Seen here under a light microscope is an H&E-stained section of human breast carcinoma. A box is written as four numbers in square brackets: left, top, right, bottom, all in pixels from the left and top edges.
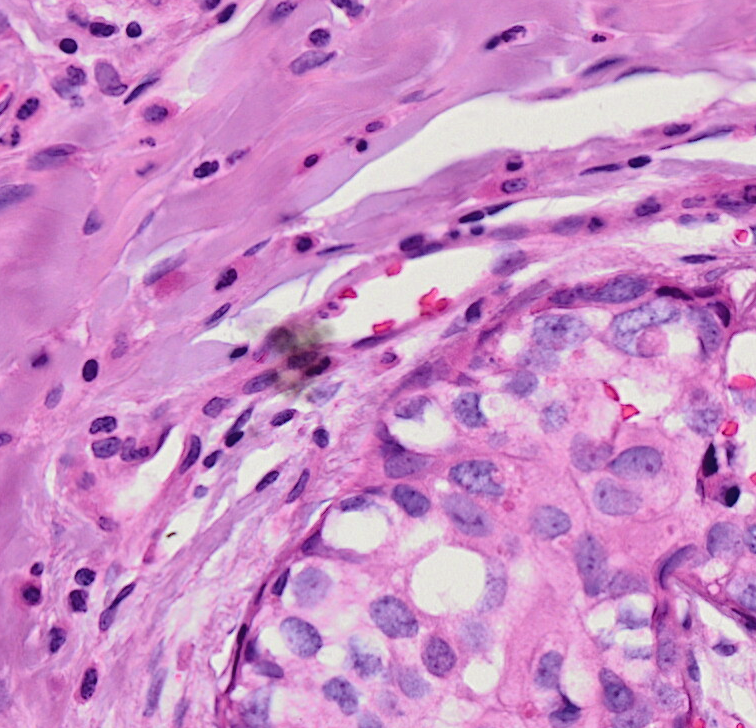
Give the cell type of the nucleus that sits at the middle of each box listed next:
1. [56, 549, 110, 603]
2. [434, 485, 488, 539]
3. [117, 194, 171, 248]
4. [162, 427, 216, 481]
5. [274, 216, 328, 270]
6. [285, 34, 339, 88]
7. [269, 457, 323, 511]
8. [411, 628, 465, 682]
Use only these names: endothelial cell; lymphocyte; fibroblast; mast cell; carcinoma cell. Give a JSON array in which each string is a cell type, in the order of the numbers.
["lymphocyte", "carcinoma cell", "fibroblast", "endothelial cell", "mast cell", "fibroblast", "endothelial cell", "carcinoma cell"]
